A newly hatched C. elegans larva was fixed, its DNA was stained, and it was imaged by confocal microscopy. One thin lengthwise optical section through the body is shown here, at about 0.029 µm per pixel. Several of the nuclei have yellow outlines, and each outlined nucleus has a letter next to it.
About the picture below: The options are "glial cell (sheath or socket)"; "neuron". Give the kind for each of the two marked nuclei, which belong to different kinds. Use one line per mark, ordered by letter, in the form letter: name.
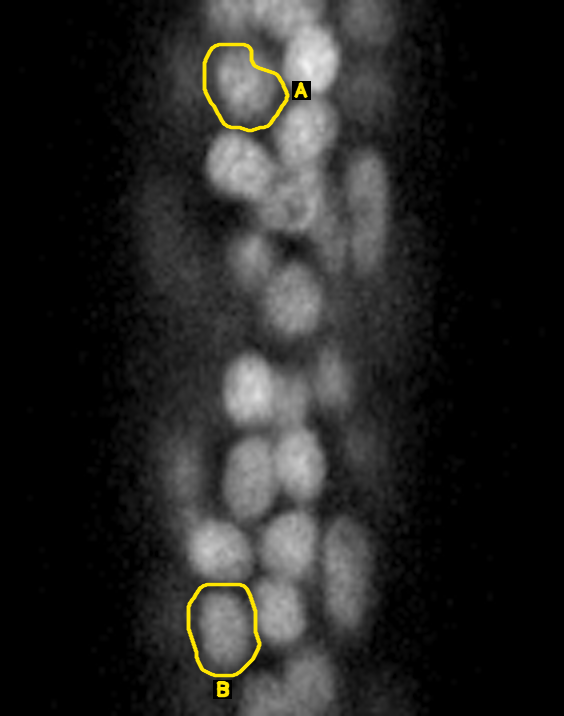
A: neuron
B: glial cell (sheath or socket)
